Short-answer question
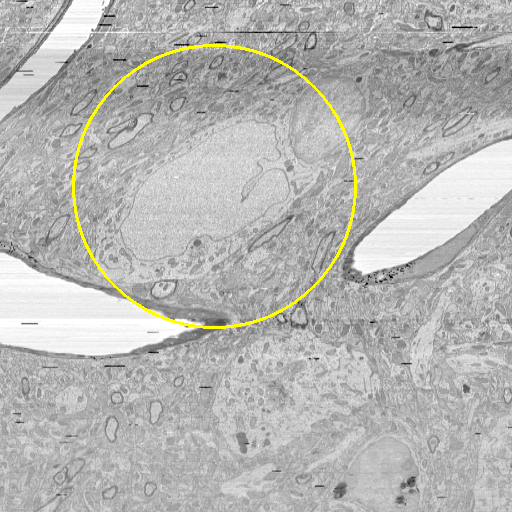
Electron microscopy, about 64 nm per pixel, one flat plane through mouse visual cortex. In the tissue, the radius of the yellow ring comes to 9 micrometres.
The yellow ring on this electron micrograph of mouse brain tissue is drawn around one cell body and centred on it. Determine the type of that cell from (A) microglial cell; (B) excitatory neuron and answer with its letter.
B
